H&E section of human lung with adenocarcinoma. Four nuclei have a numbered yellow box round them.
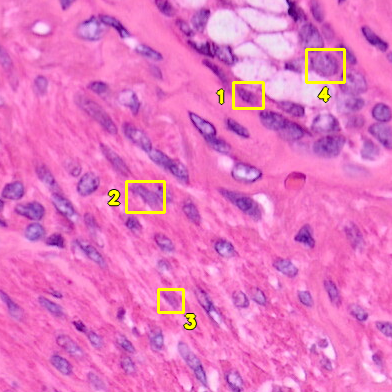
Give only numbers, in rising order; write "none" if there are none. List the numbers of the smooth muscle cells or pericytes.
2, 3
